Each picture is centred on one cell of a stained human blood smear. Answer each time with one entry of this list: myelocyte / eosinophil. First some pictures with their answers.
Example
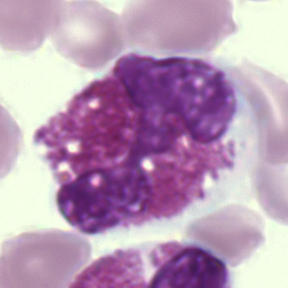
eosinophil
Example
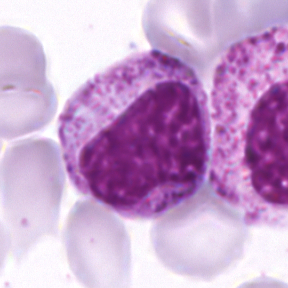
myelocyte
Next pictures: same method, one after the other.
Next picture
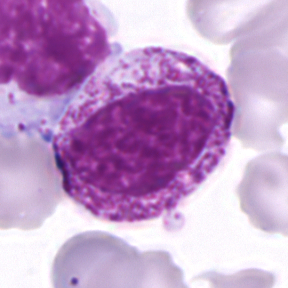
myelocyte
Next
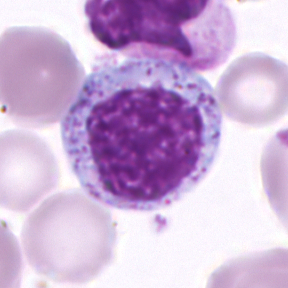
myelocyte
